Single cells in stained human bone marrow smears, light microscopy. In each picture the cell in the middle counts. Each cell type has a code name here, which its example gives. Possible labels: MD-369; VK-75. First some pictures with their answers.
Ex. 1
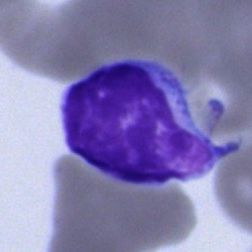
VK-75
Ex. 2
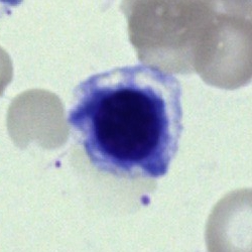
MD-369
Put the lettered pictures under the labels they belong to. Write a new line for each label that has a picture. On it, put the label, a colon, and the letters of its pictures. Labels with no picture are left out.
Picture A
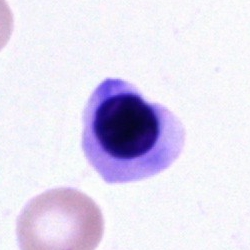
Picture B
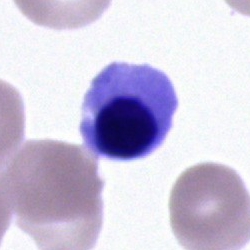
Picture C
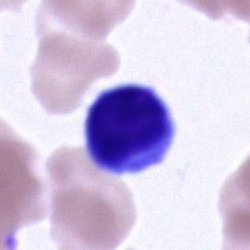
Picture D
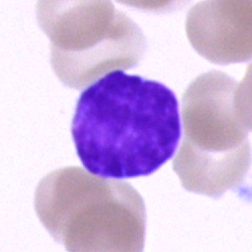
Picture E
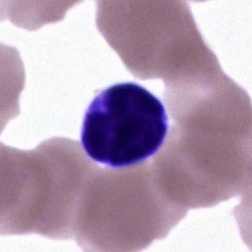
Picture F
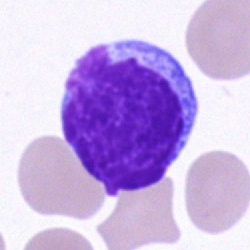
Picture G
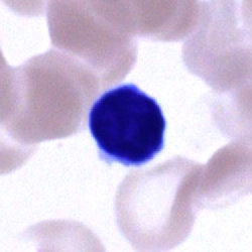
MD-369: A, B
VK-75: C, D, E, F, G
